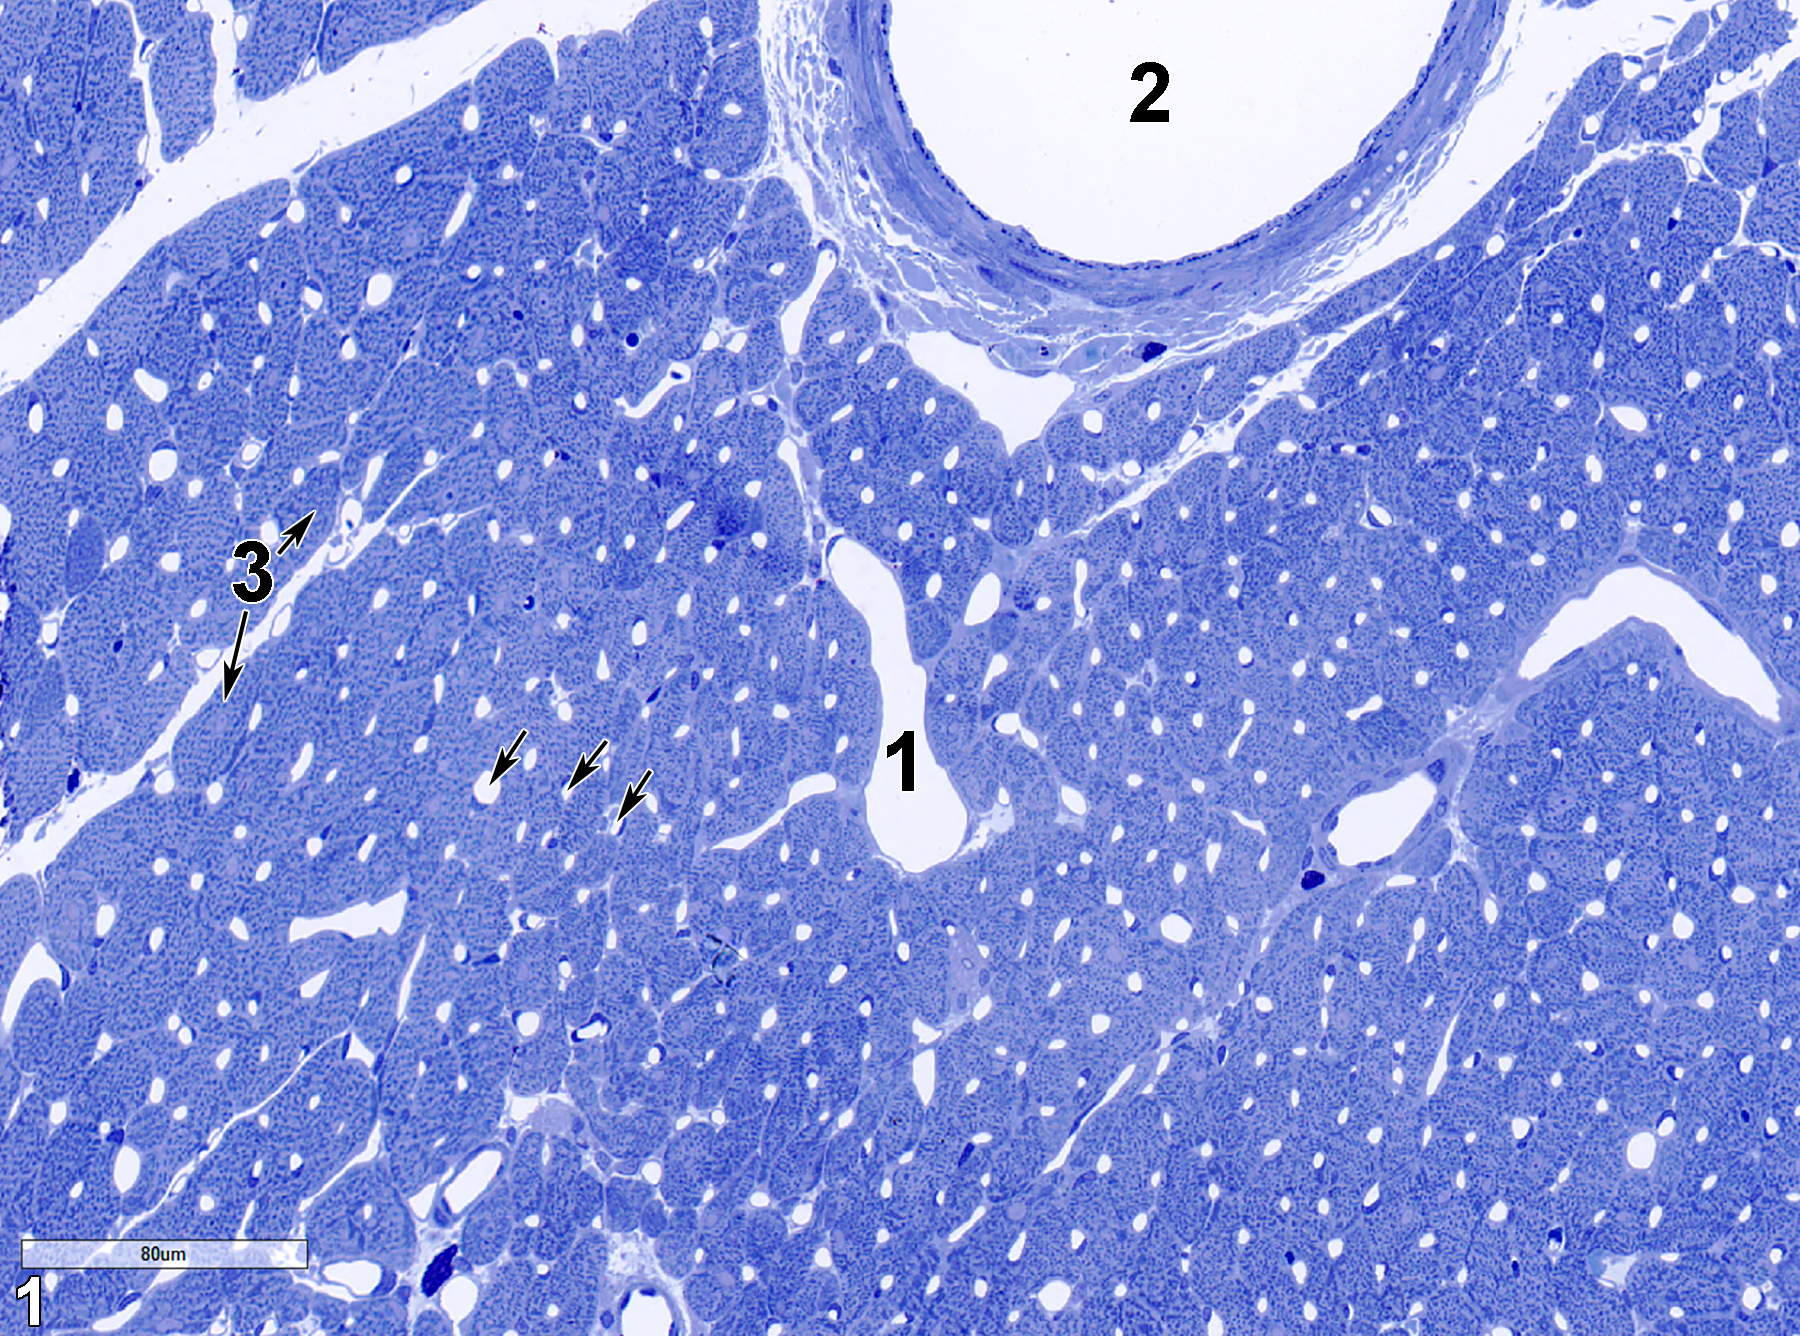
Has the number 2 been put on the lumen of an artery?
Yes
